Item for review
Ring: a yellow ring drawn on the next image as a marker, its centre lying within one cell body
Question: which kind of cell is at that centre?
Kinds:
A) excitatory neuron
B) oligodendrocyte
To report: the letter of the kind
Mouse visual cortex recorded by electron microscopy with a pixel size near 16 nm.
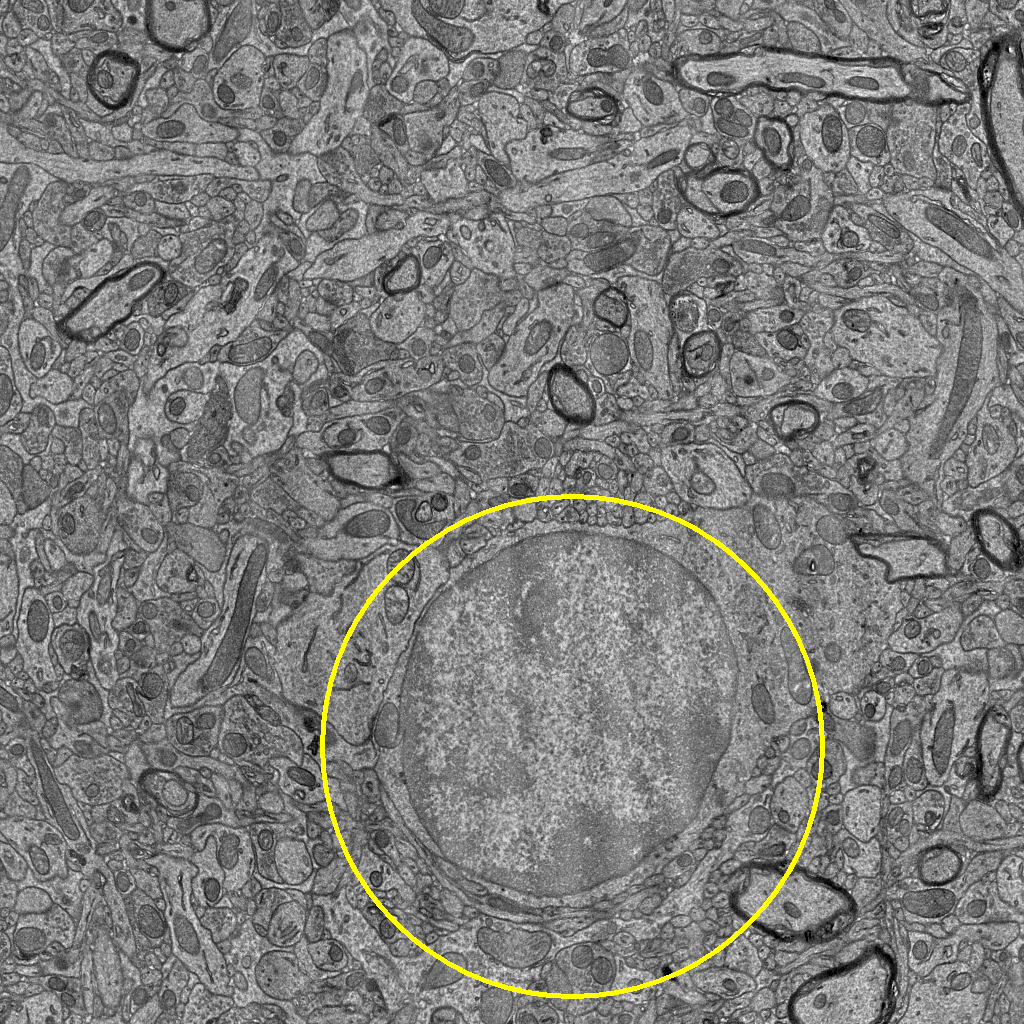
B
